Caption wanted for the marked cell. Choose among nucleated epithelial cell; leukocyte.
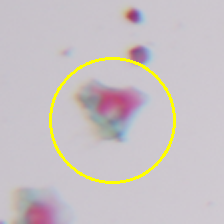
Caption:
Ringed in yellow is a nucleated epithelial cell.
